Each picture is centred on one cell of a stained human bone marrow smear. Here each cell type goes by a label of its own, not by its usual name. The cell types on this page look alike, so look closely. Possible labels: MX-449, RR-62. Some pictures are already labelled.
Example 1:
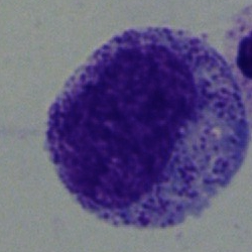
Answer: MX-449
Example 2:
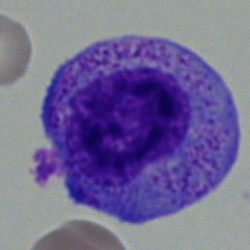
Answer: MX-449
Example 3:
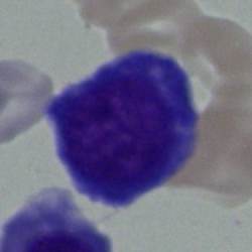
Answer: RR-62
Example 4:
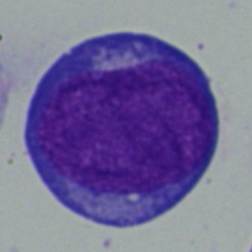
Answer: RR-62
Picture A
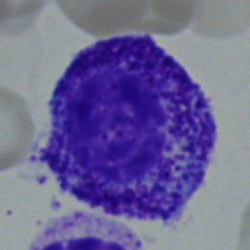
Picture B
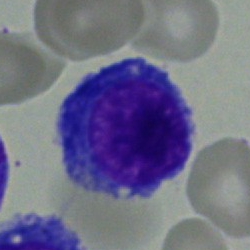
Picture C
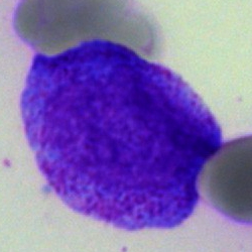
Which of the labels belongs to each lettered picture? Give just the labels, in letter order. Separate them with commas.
MX-449, RR-62, MX-449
